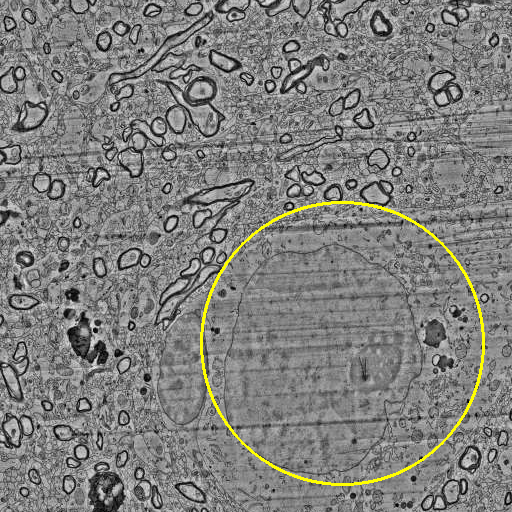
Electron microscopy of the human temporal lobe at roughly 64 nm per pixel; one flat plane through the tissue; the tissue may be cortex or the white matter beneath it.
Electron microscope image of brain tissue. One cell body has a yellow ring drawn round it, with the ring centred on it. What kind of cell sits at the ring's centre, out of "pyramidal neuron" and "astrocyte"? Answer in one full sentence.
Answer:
It is a pyramidal neuron whose cell body sits at the centre of the yellow ring.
